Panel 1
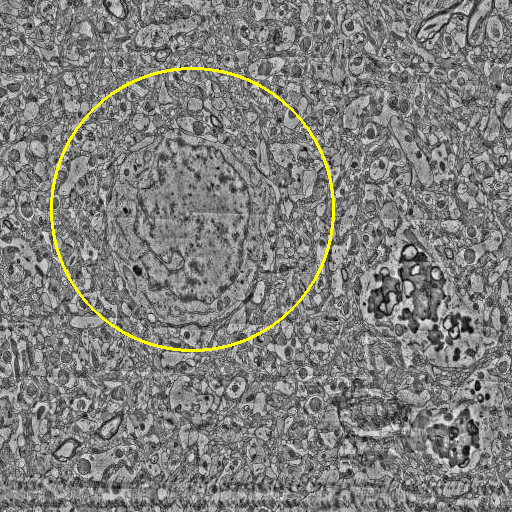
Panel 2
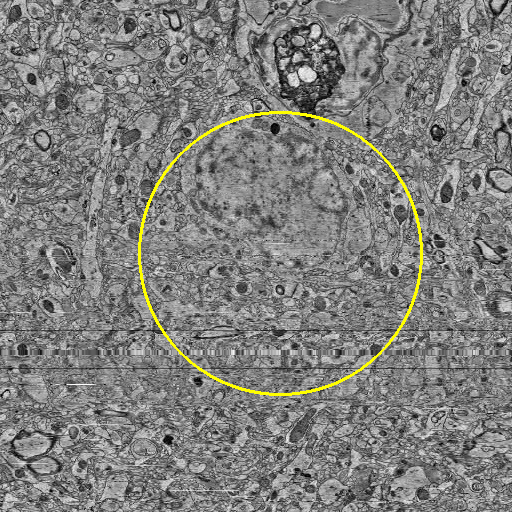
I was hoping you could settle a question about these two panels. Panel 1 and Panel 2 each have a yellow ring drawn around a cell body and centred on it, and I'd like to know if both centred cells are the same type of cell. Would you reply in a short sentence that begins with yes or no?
Yes, both are the same type of cell.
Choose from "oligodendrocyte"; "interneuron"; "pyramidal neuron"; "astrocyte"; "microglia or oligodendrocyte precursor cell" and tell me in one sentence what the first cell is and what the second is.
Each of the two rings is centred on an interneuron.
